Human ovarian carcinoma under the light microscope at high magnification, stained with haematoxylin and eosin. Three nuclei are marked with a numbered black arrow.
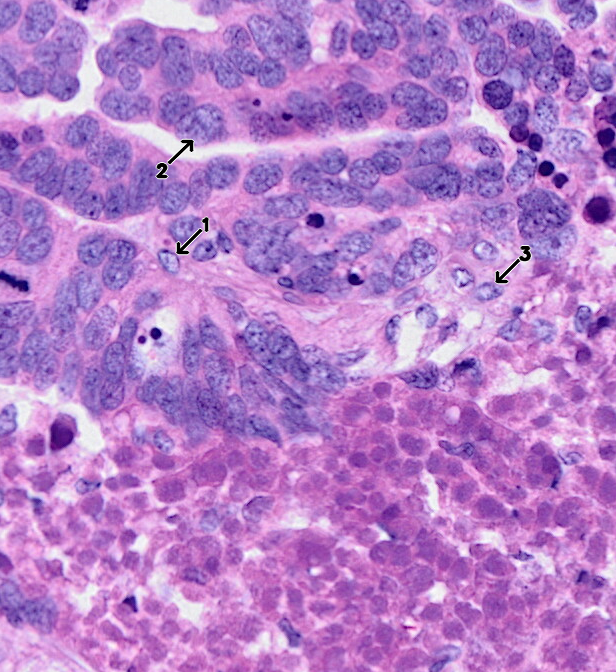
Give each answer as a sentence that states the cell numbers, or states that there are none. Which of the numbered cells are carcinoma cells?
Only cell 2 is a carcinoma cell; none of the other numbered cells is.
